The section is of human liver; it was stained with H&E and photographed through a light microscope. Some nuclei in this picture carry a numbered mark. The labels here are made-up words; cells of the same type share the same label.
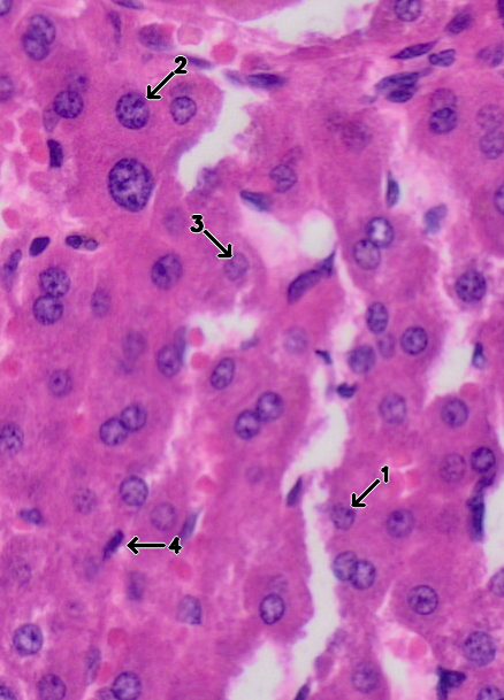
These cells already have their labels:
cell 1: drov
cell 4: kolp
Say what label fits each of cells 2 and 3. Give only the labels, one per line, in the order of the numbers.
drov
drov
